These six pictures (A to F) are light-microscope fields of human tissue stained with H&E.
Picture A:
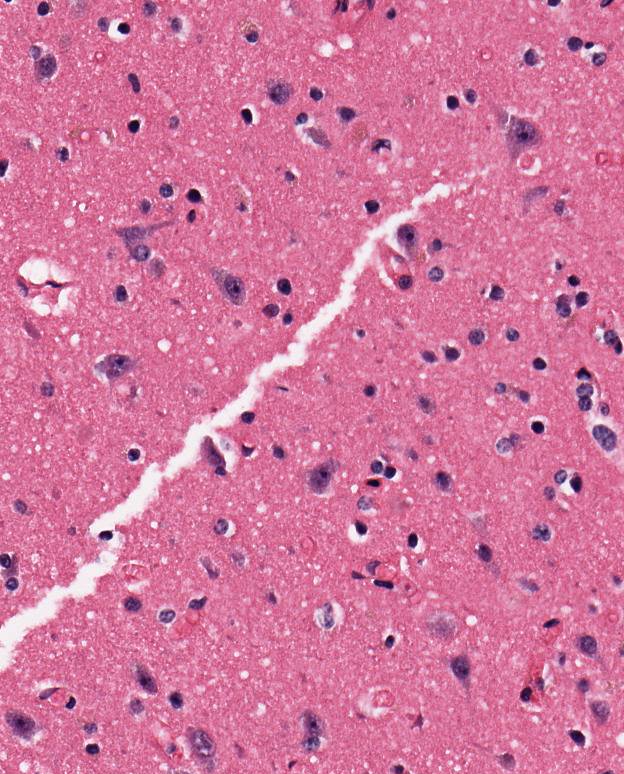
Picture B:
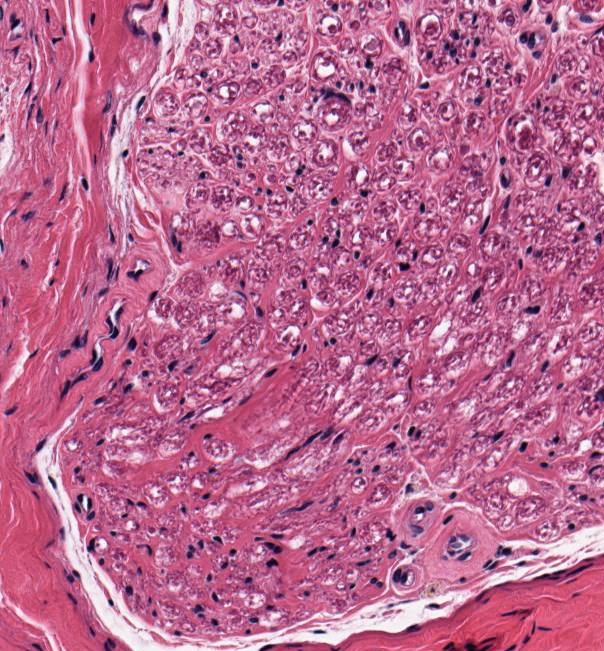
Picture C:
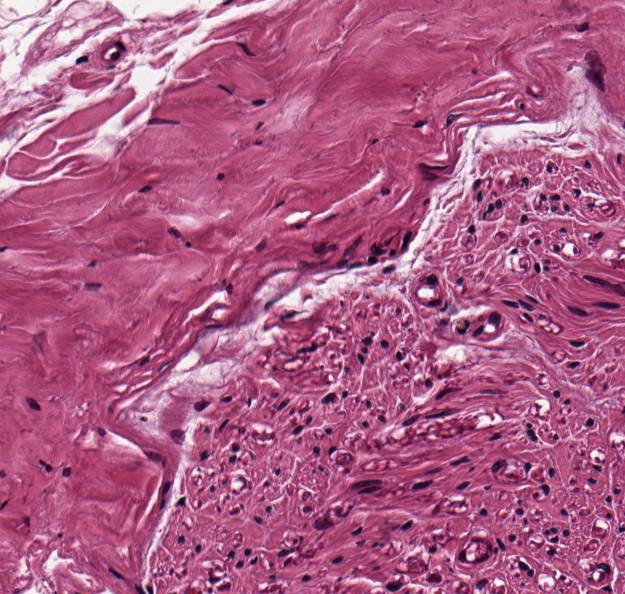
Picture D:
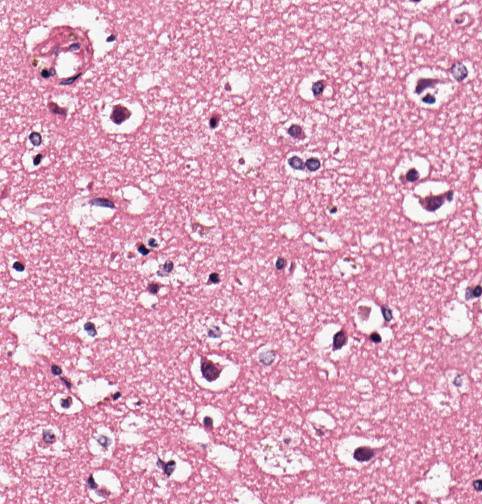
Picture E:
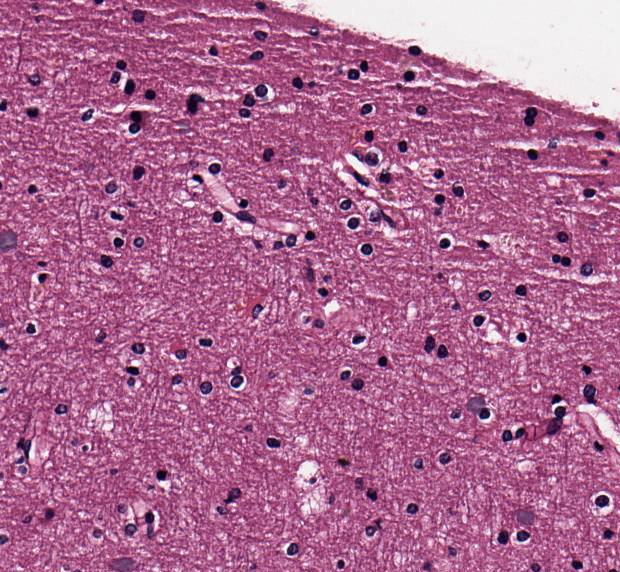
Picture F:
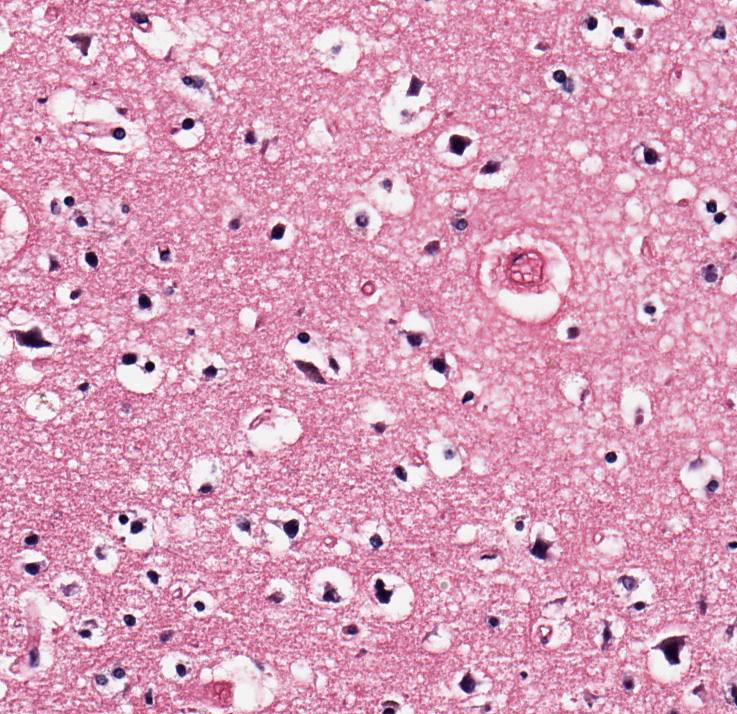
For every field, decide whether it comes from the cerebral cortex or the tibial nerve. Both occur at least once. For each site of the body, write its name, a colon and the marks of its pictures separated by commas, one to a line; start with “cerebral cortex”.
cerebral cortex: A, D, E, F
tibial nerve: B, C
